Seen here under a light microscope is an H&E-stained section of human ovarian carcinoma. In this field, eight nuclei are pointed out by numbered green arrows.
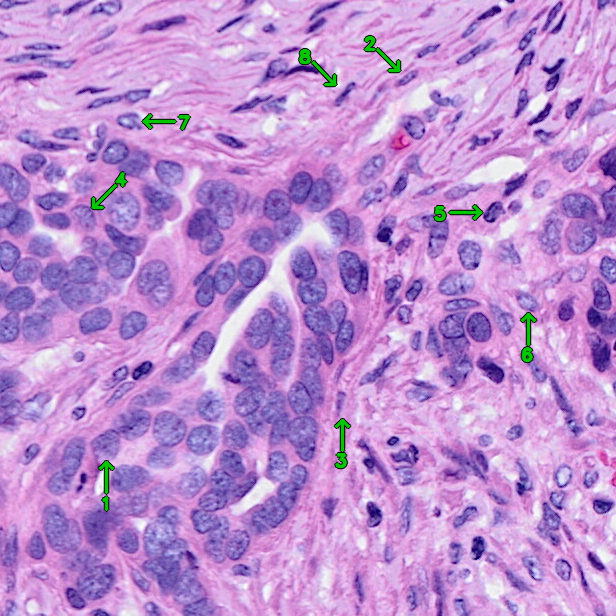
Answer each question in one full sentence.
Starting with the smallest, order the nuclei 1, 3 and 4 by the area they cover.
From smallest to largest, the order is 3, 4, 1.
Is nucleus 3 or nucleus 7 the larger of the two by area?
Number 7 is larger; its area is about 1.5 times that of number 3.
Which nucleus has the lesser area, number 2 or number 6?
It is nucleus 2; nucleus 6 has about 2 times its area.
